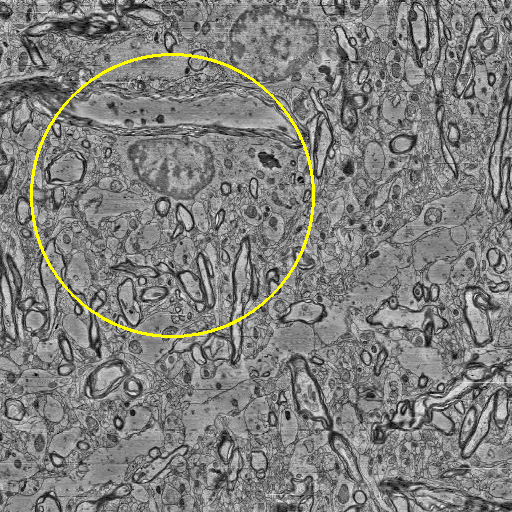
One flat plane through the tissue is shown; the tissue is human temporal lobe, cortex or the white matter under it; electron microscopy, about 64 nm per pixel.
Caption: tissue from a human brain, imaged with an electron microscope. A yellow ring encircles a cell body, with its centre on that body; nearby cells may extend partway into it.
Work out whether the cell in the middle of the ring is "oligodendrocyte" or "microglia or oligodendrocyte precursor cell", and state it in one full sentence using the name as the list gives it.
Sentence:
In the picture, the cell that the yellow ring surrounds at its centre is an oligodendrocyte.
